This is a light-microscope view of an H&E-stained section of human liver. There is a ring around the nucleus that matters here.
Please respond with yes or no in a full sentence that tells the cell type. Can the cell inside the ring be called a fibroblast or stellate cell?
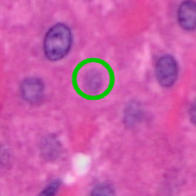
No, on this one the cell inside the ring is a hepatocyte, not a fibroblast or stellate cell.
